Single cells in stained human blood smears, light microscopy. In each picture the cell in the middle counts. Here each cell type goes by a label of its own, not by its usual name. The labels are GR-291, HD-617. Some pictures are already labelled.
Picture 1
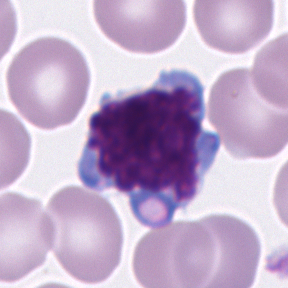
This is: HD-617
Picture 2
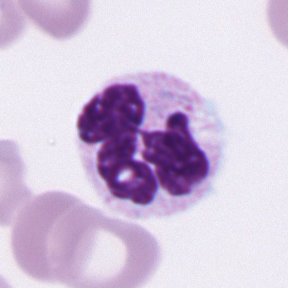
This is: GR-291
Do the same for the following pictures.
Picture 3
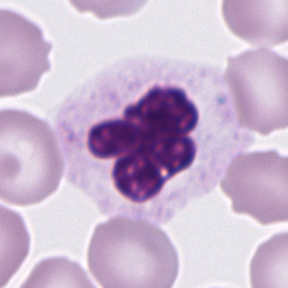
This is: GR-291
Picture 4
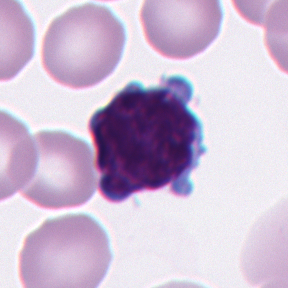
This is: HD-617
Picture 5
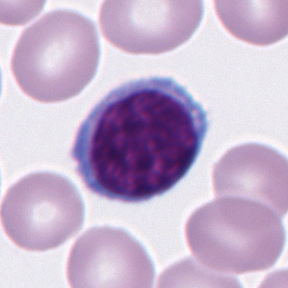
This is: HD-617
